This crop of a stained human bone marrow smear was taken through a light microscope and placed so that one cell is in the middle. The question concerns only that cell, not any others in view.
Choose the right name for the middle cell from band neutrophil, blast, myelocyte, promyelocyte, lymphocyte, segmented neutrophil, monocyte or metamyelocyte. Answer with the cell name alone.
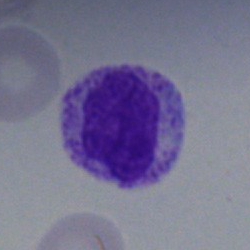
myelocyte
